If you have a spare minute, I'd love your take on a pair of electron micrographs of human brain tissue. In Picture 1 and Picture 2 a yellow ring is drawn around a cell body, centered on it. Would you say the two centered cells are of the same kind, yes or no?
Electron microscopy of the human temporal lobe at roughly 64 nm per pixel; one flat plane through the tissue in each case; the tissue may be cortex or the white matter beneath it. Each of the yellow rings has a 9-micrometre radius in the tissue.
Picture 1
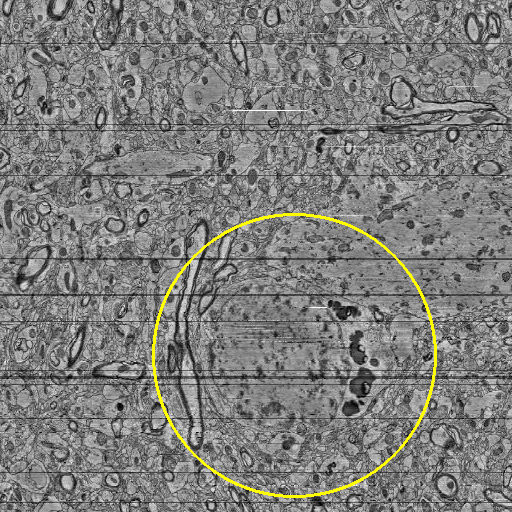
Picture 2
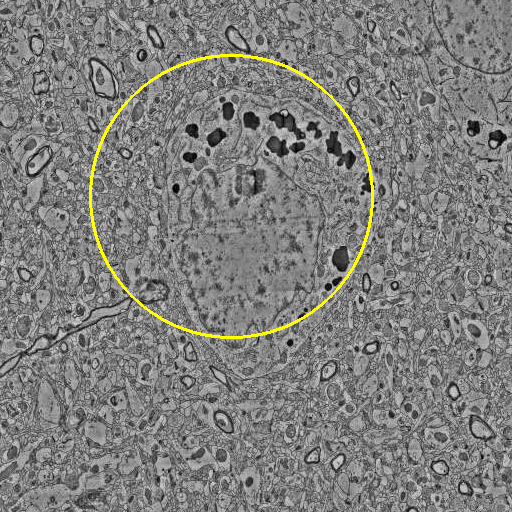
yes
